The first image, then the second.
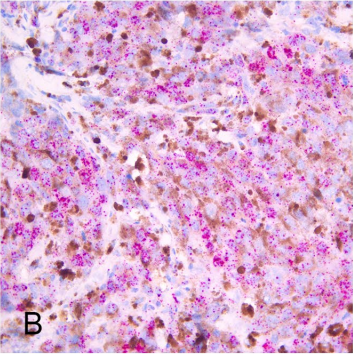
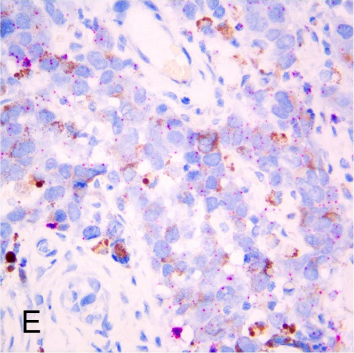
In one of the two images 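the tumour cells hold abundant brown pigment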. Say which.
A: The first image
